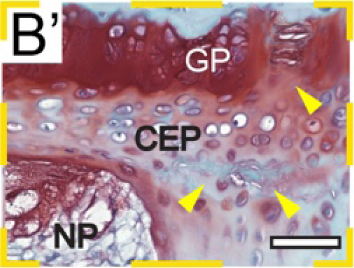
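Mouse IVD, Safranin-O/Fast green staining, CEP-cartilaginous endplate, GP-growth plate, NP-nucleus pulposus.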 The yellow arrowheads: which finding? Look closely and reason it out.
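A disrupted band of matrix runs through the cartilage between the red-stained upper layer and the vacuolated tissue below.
Hence: lesions and clefts.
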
